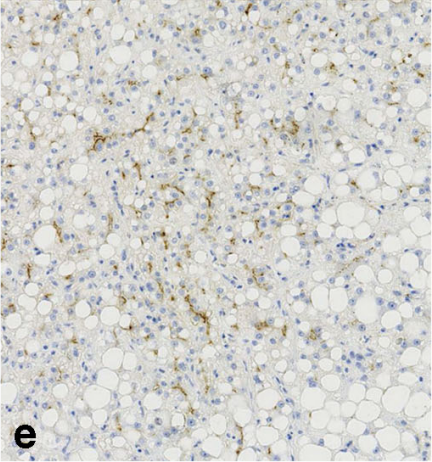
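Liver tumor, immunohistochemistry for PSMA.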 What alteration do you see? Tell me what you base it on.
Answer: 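Many round, clear, empty vacuoles of varying size fill the cytoplasm of the cells. Some vacuoles are large and push the nuclei to the side. So: steatosis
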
